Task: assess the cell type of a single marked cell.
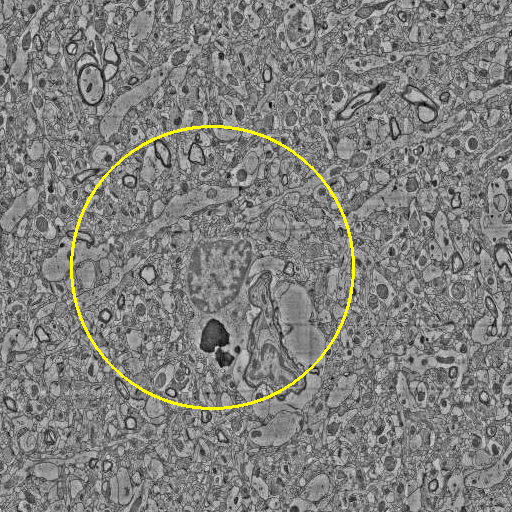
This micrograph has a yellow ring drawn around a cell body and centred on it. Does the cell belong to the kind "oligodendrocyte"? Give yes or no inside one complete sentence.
Yes, the marked cell at the centre of the ring belongs to that kind.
